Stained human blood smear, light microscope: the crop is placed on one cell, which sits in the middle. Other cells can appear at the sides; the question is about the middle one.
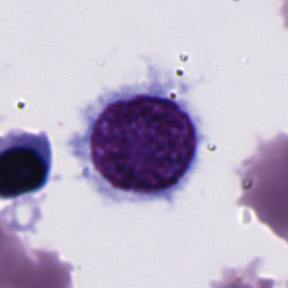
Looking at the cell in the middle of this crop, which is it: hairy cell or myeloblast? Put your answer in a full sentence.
In the middle of this smear crop is a hairy cell.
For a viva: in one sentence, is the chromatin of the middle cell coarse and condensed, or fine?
The chromatin is fine throughout, without coarse clumps.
